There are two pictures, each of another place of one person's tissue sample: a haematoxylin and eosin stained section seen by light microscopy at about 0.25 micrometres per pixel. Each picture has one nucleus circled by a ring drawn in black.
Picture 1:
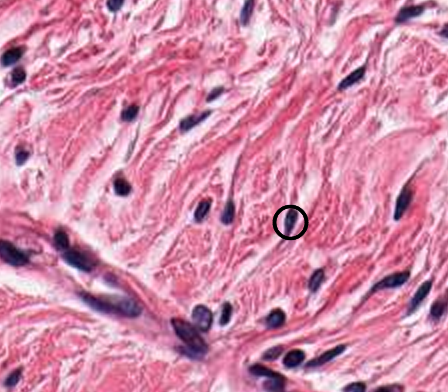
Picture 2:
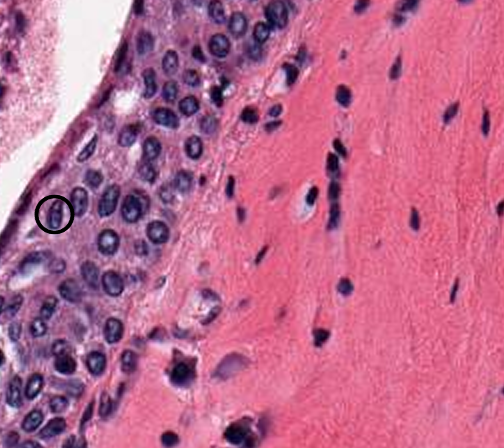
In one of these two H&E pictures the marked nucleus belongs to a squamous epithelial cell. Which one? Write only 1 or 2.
2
